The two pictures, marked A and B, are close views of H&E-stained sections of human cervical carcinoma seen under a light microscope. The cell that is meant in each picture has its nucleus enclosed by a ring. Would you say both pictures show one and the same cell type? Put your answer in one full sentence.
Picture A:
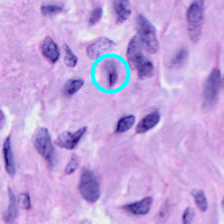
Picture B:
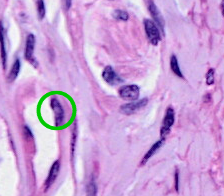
No, picture A shows a fibroblast and picture B shows an endothelial cell.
